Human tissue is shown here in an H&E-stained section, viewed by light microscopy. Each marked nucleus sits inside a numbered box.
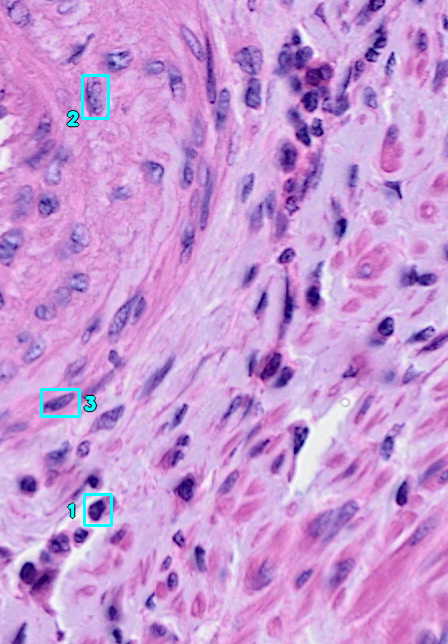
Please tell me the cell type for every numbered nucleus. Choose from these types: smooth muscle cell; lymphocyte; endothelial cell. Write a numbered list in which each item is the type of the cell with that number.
1. lymphocyte
2. smooth muscle cell
3. smooth muscle cell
